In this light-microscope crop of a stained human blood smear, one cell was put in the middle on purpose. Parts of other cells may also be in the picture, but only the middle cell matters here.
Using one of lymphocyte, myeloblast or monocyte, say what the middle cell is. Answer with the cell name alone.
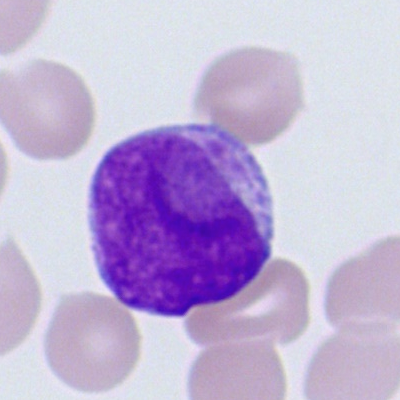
myeloblast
